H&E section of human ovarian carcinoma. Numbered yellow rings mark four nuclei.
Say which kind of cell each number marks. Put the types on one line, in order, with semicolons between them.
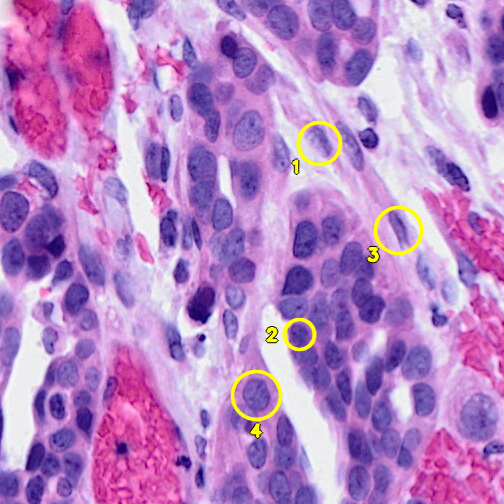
fibroblast; carcinoma cell; fibroblast; carcinoma cell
